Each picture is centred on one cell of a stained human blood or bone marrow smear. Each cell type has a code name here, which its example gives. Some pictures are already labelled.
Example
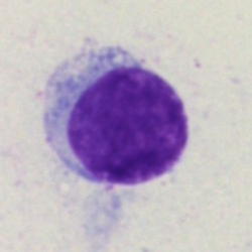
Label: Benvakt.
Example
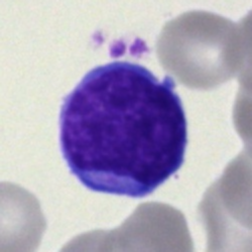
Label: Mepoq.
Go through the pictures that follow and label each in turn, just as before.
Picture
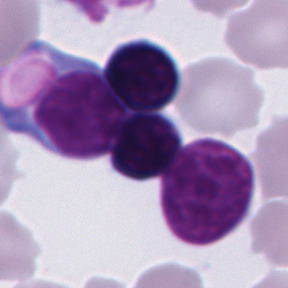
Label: Mepoq.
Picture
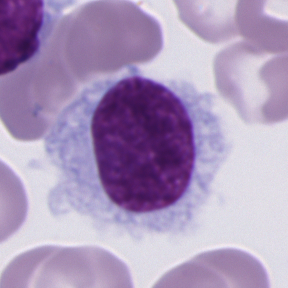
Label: Benvakt.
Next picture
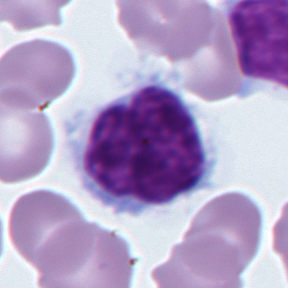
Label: Benvakt.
